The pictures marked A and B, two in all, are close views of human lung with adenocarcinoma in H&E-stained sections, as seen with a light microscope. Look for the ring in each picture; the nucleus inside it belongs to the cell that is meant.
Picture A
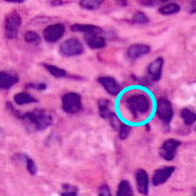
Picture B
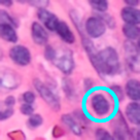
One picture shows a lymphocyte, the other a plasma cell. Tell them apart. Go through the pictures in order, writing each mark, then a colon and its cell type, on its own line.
A: plasma cell
B: lymphocyte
